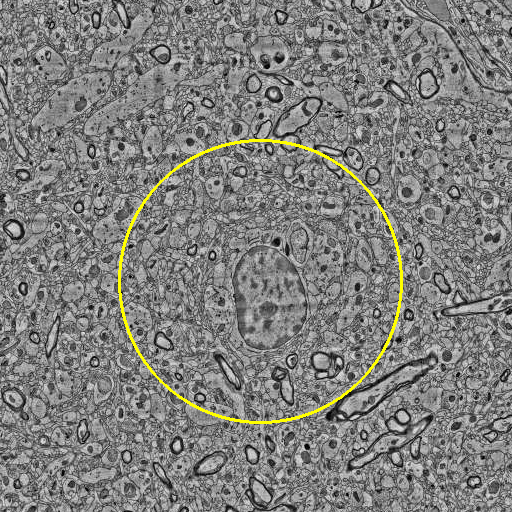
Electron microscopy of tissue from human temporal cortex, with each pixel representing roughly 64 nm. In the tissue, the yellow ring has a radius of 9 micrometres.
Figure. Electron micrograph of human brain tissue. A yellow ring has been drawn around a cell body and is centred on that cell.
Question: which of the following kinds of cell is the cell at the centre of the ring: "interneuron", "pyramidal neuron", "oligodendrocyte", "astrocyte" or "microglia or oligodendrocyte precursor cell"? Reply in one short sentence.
The cell at the centre of the ring is a microglial cell or oligodendrocyte precursor cell.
